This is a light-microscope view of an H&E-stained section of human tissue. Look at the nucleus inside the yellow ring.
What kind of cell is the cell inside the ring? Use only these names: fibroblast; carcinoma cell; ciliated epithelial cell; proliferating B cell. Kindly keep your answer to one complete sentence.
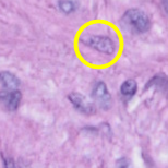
Microscopically, the cell inside the ring is categorized as a fibroblast.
